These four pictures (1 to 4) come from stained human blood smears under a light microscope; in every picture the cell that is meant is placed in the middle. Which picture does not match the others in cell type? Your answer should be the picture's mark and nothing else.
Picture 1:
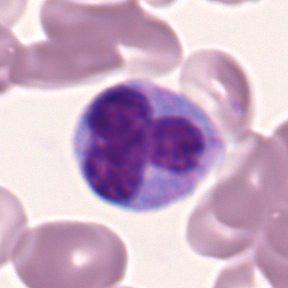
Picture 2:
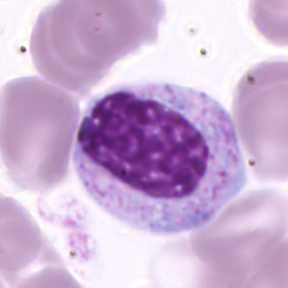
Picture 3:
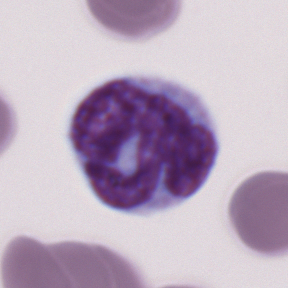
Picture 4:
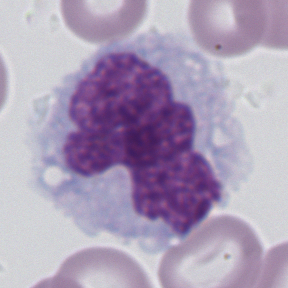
2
